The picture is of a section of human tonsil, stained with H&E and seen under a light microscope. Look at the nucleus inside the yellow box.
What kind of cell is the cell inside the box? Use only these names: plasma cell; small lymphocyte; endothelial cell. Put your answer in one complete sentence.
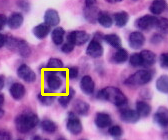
By its classification, the cell inside the box is a small lymphocyte.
